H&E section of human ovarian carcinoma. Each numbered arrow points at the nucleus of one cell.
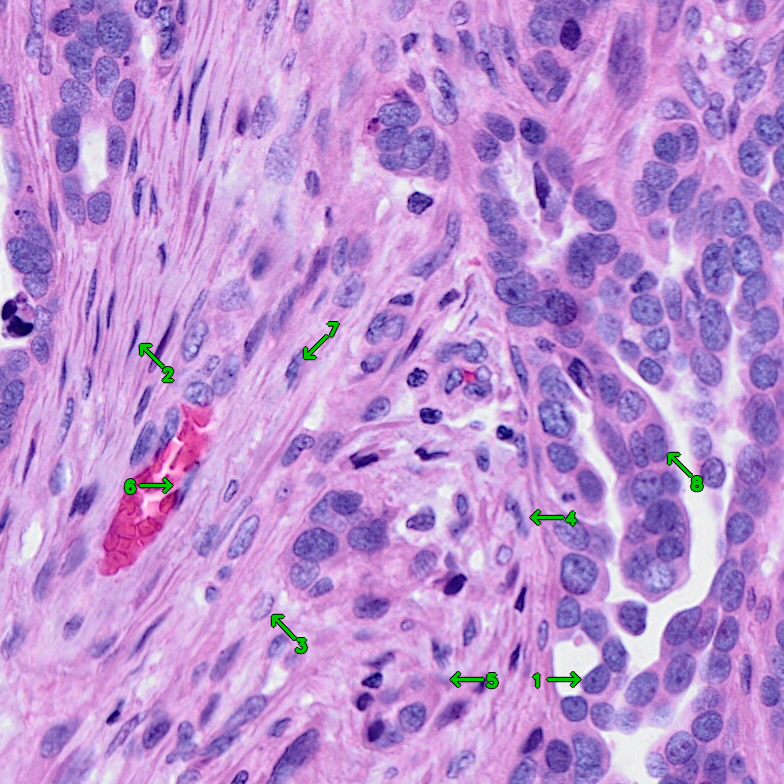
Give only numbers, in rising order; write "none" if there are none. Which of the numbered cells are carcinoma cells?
1, 8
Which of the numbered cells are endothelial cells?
6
